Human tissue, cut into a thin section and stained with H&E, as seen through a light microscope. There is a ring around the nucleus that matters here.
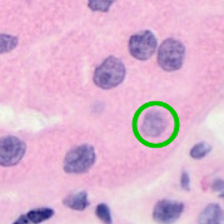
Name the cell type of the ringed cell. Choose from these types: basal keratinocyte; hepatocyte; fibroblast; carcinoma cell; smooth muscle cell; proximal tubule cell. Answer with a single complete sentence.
On this particular slide, the ringed cell is a proximal tubule cell.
